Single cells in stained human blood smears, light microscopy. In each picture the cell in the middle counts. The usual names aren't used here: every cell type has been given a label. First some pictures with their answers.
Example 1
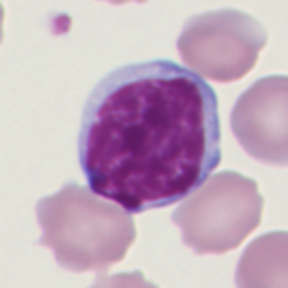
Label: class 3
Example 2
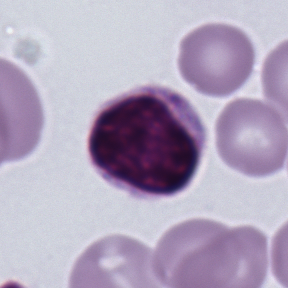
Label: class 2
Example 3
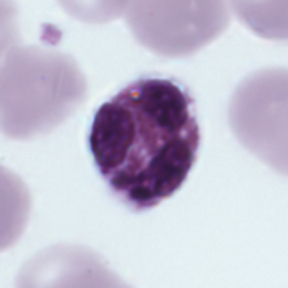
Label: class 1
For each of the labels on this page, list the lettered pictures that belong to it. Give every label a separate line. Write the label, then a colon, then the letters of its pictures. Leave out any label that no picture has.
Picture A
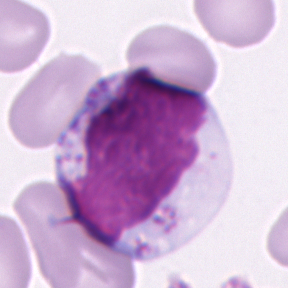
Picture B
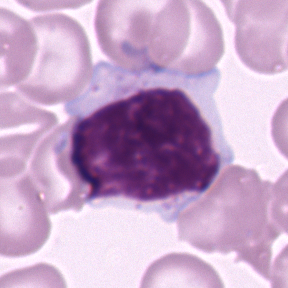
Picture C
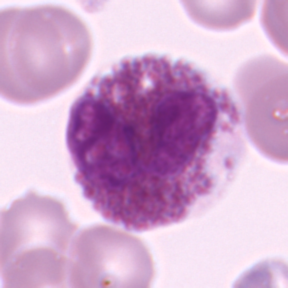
class 2: A, B
class 1: C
